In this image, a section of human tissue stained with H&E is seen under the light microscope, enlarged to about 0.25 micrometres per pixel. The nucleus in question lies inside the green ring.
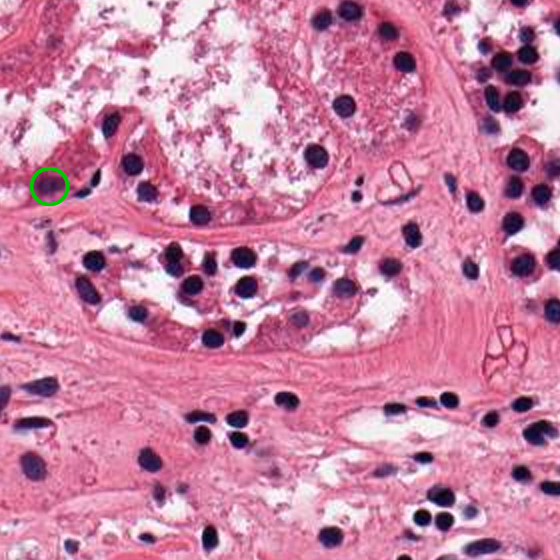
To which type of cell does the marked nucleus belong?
proximal tubule cell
